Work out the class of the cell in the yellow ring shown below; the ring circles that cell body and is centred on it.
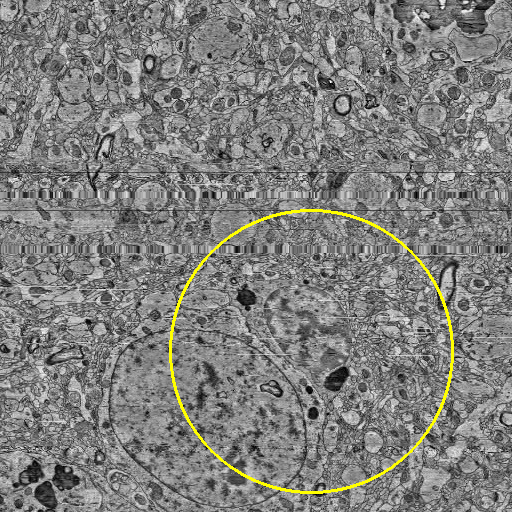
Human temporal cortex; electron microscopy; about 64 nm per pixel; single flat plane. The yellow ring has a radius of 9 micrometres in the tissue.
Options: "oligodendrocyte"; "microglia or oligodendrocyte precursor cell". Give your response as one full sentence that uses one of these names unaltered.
The body ringed in yellow, right at the ring's centre, is that of an oligodendrocyte.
